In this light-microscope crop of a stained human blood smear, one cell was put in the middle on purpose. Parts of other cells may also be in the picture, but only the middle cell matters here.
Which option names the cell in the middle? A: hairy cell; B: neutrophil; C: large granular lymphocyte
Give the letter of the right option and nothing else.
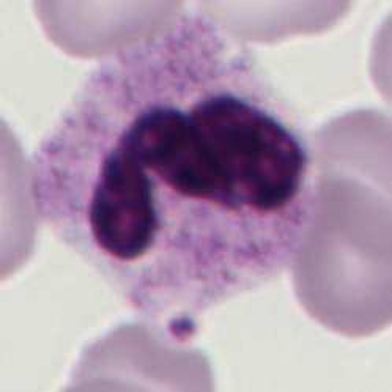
B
